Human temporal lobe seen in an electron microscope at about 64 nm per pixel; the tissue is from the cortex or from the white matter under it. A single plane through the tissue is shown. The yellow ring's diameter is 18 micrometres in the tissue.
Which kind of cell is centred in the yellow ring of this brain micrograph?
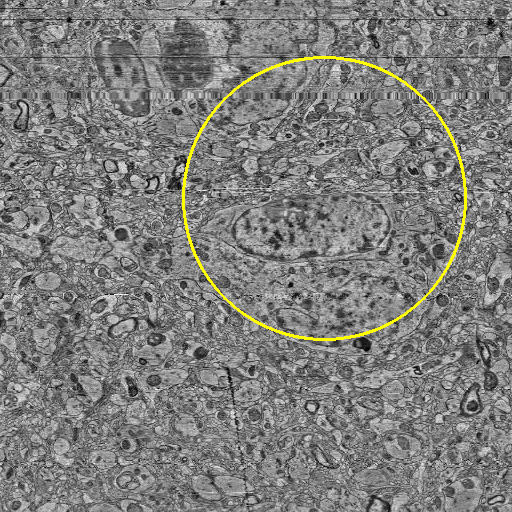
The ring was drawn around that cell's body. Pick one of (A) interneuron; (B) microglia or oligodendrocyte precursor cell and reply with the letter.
B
